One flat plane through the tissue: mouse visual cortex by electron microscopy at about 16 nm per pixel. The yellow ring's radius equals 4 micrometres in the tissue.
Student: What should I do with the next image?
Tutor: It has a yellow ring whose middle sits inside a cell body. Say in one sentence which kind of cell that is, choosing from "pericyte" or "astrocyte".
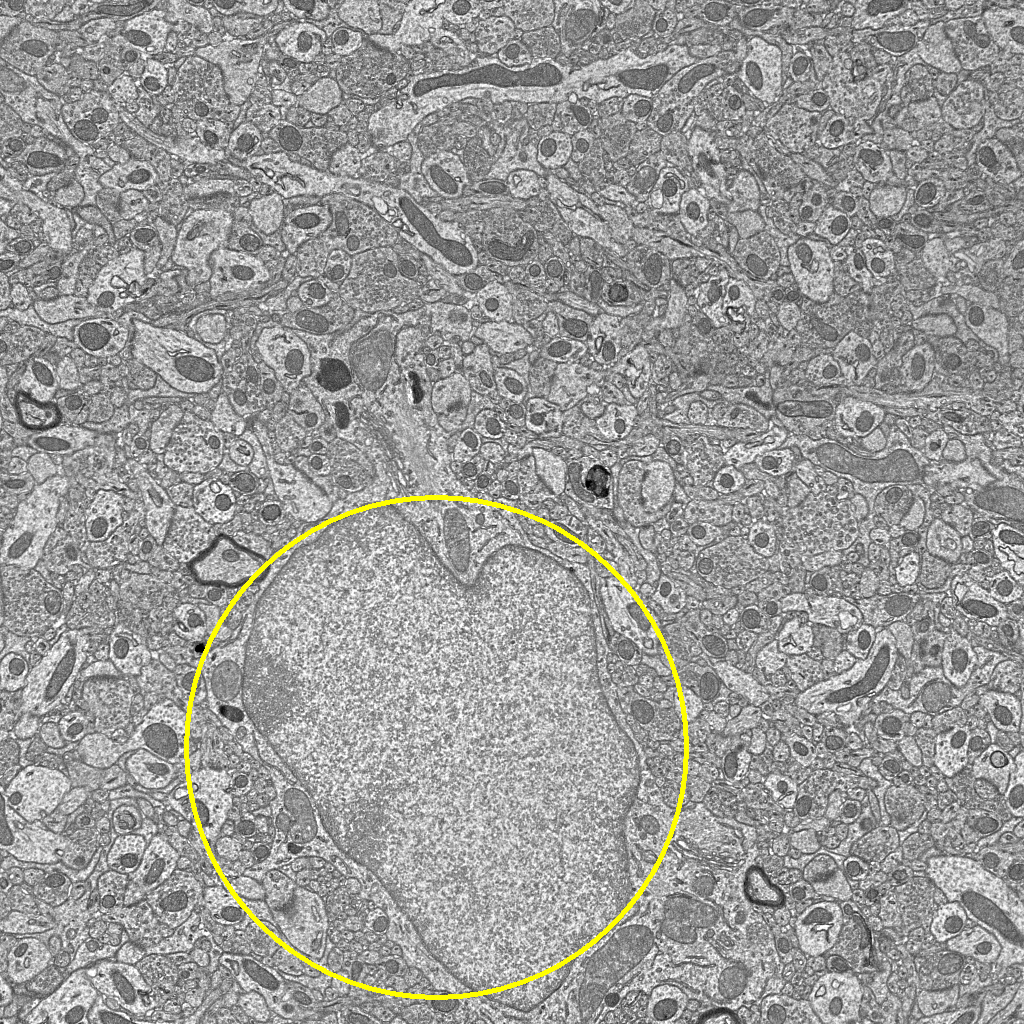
The ring's centre is occupied by an astrocyte.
